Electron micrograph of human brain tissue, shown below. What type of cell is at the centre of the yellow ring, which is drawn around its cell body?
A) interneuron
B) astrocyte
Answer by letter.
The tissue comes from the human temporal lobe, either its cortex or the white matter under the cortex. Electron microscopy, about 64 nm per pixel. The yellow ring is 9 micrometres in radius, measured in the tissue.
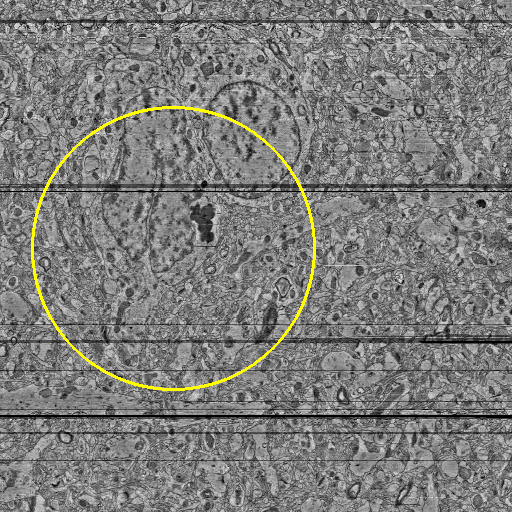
A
